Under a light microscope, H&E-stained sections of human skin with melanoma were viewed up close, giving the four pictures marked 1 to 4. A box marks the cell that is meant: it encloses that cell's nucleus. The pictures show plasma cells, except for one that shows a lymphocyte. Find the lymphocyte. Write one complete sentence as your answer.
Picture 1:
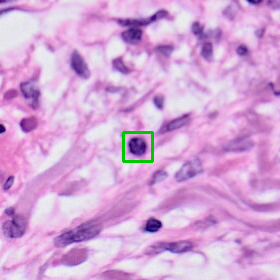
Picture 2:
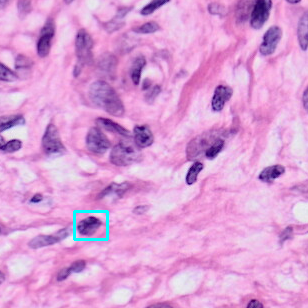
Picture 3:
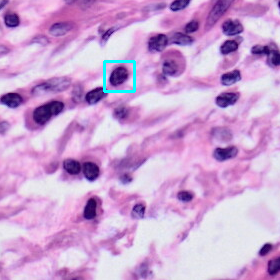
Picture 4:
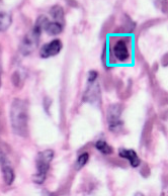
The cell in picture 2 is the lymphocyte.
